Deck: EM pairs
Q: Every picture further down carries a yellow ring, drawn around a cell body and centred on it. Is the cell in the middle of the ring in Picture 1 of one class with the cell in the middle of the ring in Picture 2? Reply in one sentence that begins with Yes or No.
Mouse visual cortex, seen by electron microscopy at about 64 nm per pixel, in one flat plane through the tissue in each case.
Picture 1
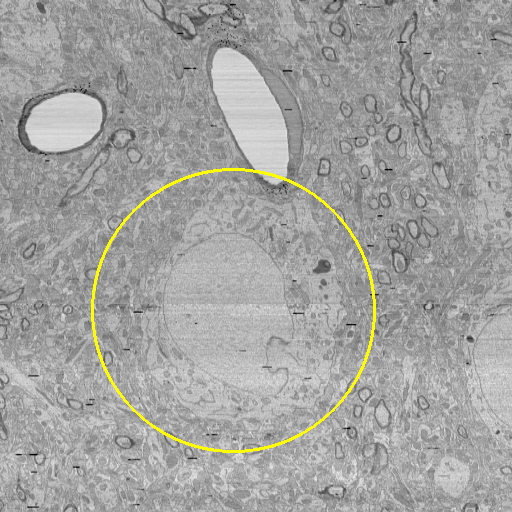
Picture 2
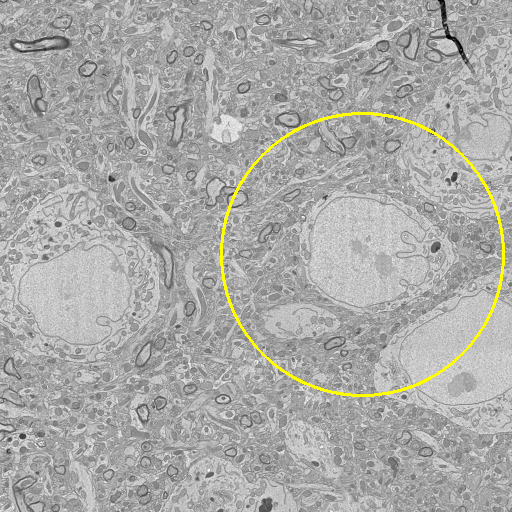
No, the cell centred in the ring of Picture 1 and the one in Picture 2 belong to separate classes.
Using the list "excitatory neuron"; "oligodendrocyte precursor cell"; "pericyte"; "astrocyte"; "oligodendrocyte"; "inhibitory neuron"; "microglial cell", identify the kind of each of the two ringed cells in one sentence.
The first is an excitatory neuron and the second is an inhibitory neuron.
